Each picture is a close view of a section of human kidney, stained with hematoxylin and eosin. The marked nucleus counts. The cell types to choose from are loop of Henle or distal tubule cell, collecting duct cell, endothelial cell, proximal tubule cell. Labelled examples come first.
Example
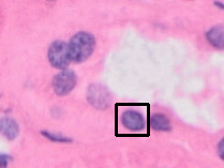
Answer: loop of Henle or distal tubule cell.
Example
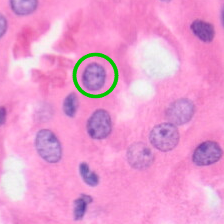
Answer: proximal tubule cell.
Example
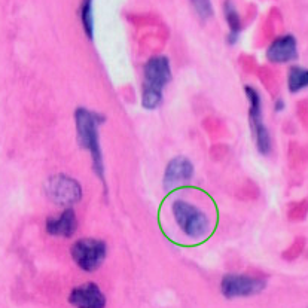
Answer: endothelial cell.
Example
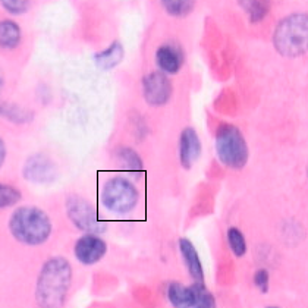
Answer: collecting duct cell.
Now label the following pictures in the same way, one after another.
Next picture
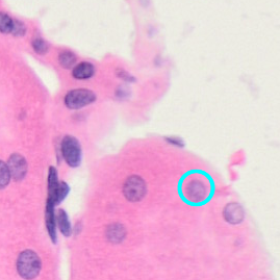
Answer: proximal tubule cell.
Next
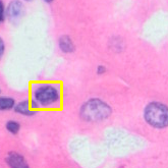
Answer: collecting duct cell.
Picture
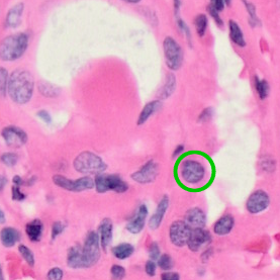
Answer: loop of Henle or distal tubule cell.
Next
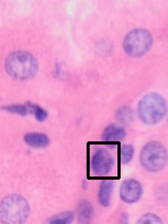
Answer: collecting duct cell.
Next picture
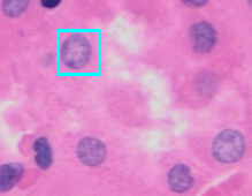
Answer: proximal tubule cell.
